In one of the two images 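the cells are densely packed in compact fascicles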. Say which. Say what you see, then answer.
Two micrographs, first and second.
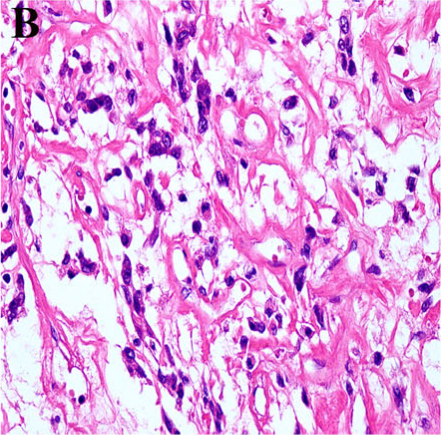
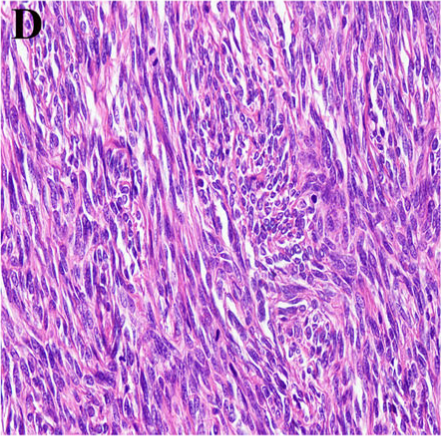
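The second image. First image: scattered cells lie far apart in loose pale stroma. Second image: elongated cells crowd together in parallel bundles.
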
